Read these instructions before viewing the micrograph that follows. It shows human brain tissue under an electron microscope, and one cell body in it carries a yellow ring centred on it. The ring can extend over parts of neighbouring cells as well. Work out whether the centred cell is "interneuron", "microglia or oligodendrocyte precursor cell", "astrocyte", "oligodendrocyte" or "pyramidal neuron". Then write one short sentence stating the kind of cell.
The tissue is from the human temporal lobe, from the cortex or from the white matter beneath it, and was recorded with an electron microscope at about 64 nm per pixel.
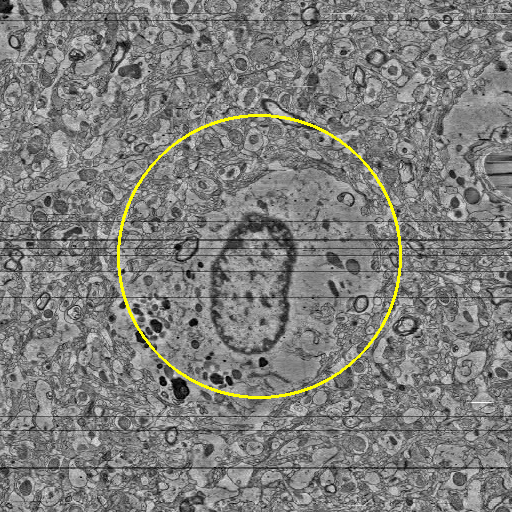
The ringed cell is an astrocyte.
